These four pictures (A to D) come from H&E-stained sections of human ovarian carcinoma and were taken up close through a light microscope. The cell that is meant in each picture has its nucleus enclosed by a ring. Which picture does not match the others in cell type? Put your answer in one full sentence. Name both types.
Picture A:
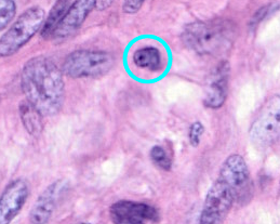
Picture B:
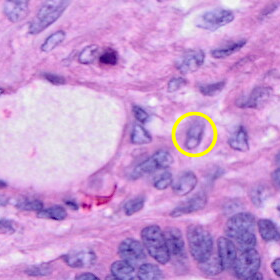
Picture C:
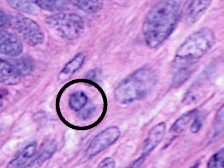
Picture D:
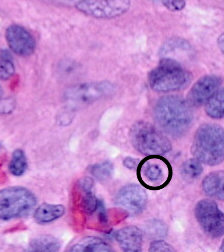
Picture B differs, because its cell is a fibroblast and the rest are “macrophages or monocytes”.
